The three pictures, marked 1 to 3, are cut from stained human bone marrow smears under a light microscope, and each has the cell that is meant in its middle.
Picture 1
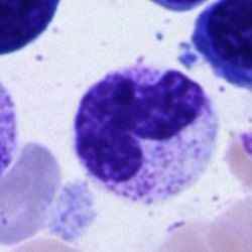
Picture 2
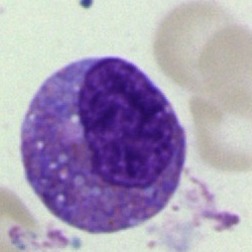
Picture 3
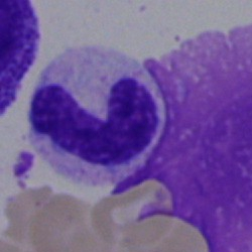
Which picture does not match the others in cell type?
2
